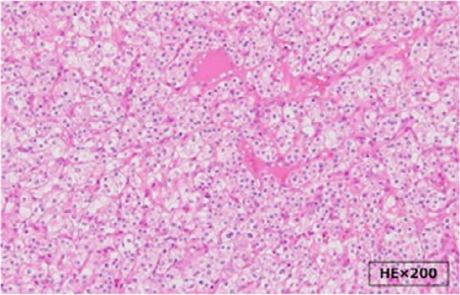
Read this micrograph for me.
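This tumor is composed of sheets and nests of tumor cells with round nuclei and clear cytoplasm. The cells are polygonal with distinct cell borders, and their cytoplasm appears pale and almost empty. The nuclei are small, round and dark purple, fairly uniform from cell to cell. Delicate pink fibrous septa and small vessels run between the cell nests, giving a branching network pattern.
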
